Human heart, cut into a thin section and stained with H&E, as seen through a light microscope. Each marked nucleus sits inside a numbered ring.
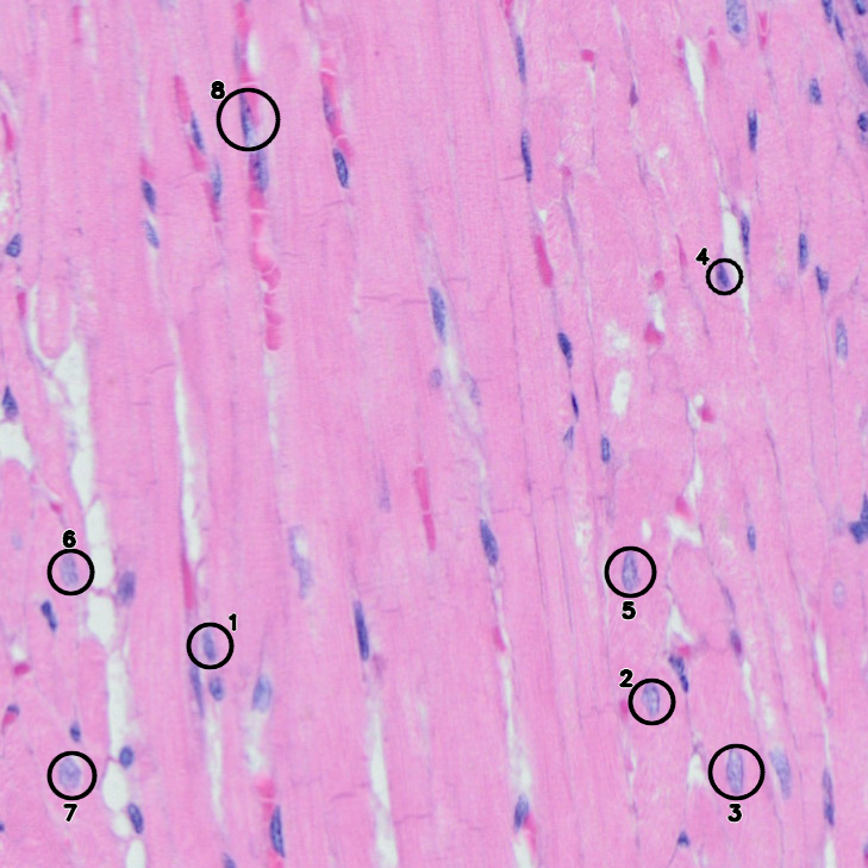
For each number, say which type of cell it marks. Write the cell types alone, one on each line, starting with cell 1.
fibroblast
cardiomyocyte
cardiomyocyte
endothelial cell
cardiomyocyte
cardiomyocyte
cardiomyocyte
endothelial cell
